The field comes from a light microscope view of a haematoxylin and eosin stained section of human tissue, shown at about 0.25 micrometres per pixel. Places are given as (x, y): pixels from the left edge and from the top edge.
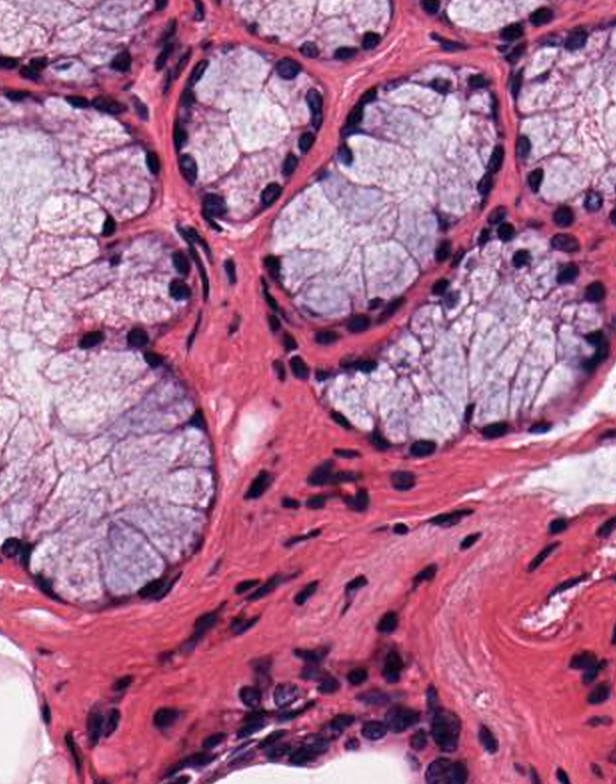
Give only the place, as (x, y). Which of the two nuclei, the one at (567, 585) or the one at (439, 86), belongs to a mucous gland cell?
(439, 86)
